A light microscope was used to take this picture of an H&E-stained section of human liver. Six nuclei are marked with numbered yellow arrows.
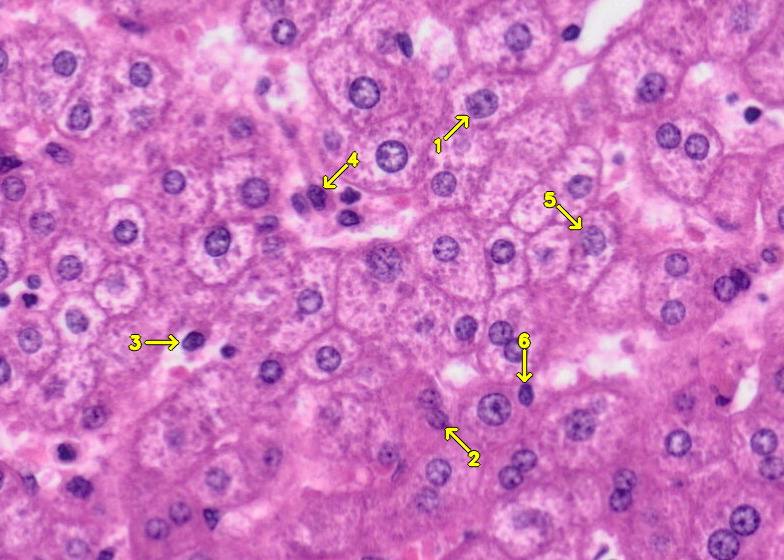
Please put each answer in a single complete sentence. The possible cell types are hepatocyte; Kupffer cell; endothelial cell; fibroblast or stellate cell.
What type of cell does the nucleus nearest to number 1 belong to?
The nearest nucleus to number 1 belongs to a Kupffer cell.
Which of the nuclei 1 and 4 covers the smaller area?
Number 4 is smaller, since number 1 takes up about 2 times as much area.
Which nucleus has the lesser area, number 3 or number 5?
With nucleus 5 about 1.5 times its size, nucleus 3 is the smaller of the two.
